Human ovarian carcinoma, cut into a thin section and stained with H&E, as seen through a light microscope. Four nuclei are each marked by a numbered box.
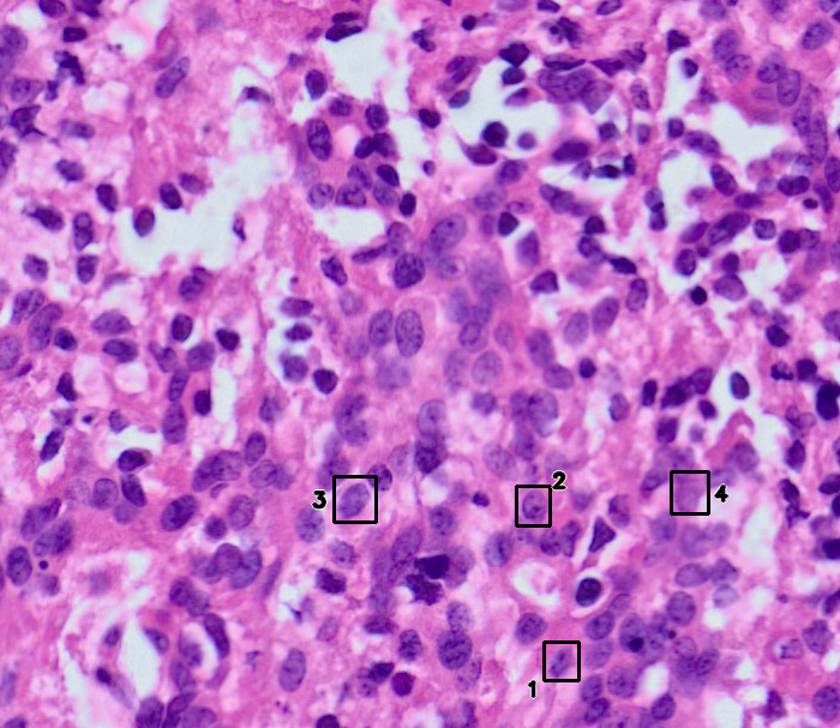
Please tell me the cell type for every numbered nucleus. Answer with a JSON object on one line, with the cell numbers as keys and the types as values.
{"1": "macrophage or monocyte", "2": "macrophage or monocyte", "3": "macrophage or monocyte", "4": "carcinoma cell"}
